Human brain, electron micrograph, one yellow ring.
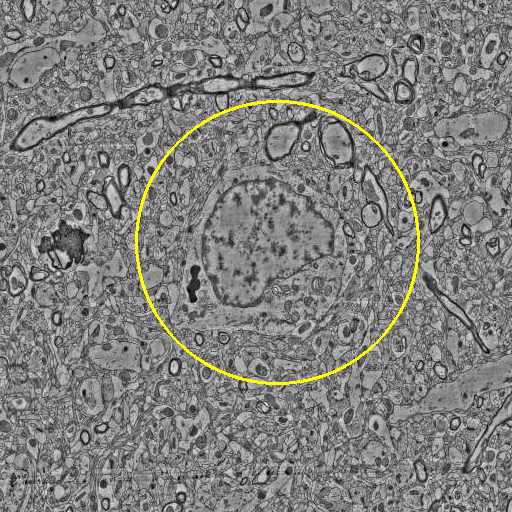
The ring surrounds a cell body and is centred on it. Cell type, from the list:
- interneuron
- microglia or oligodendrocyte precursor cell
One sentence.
The yellow ring circles an interneuron.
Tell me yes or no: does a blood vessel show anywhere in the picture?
No.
